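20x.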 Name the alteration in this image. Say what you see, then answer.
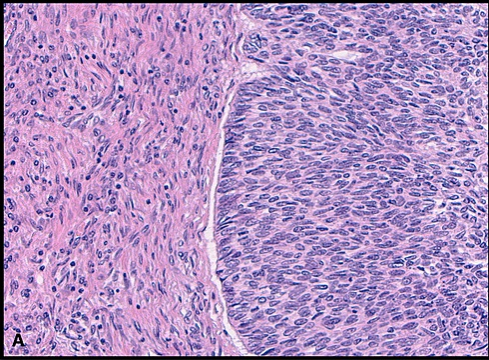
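A narrow empty white gap separates the dense tumor nest on the right from the pink stroma on the left. That points to this answer: tumor-stromal clefting.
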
